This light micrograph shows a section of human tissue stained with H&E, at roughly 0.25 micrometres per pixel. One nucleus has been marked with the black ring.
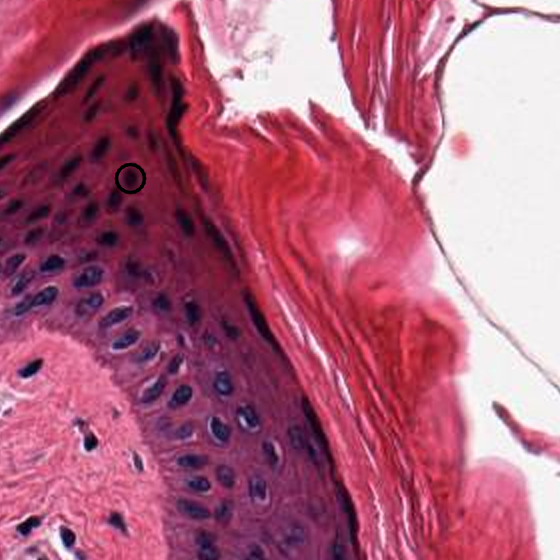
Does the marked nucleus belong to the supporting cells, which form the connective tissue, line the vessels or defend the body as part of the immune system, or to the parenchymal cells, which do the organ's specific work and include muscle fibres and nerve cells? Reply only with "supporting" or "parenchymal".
parenchymal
